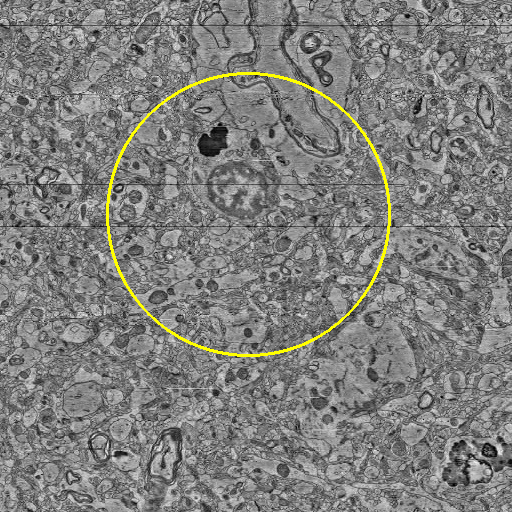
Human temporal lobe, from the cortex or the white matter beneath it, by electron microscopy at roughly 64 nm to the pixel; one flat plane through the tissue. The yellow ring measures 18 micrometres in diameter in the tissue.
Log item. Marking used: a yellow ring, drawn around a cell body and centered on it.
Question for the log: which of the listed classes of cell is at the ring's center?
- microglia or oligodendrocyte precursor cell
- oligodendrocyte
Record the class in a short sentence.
At the center of the ring lies an oligodendrocyte.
